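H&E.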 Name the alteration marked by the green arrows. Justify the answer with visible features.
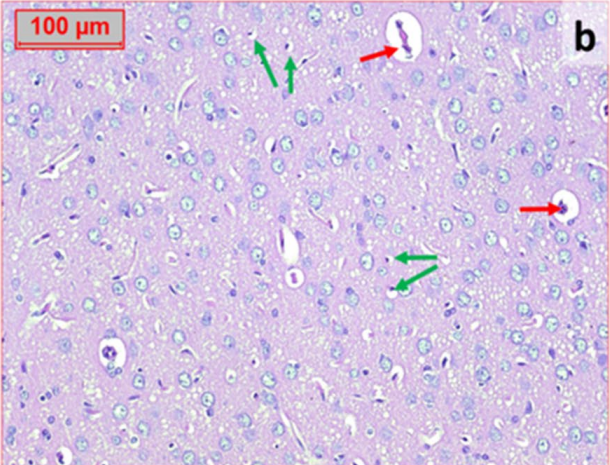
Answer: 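The green arrows point to small, dark, condensed dots among the cells. These dots are much smaller than the surrounding pale round nuclei. So: pyknotic nuclei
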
